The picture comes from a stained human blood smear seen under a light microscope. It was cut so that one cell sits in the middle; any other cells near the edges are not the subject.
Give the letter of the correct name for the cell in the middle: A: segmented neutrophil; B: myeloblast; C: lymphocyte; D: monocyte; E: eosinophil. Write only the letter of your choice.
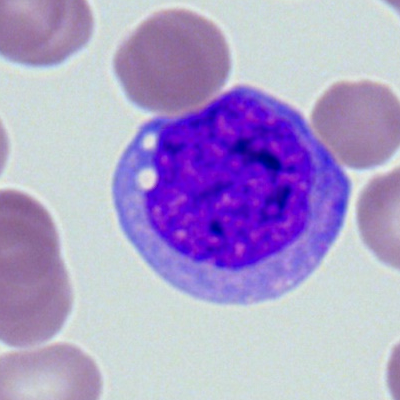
D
